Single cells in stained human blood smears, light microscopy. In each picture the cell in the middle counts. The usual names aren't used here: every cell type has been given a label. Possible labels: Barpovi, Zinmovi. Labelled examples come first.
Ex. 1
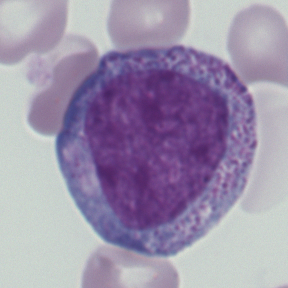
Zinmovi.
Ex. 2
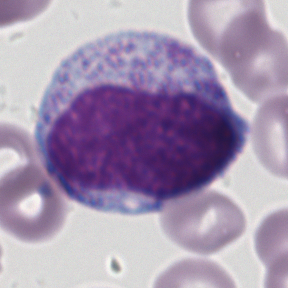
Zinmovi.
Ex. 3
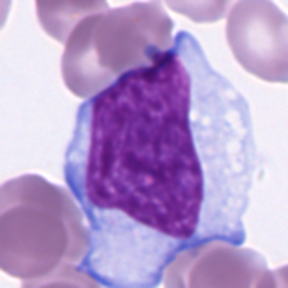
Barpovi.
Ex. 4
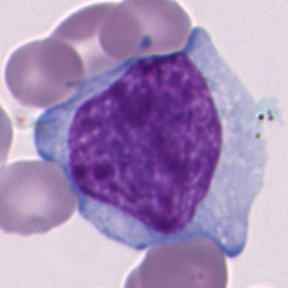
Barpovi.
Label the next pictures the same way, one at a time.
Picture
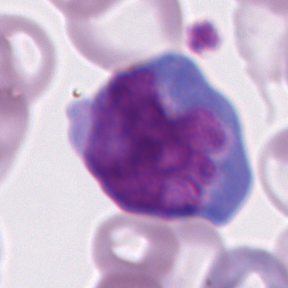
Barpovi.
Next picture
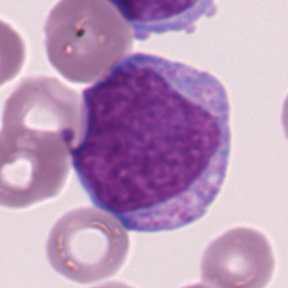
Zinmovi.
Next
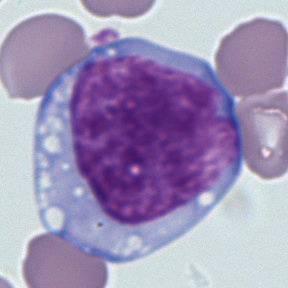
Barpovi.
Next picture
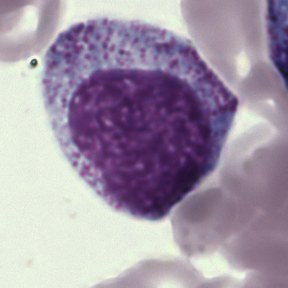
Zinmovi.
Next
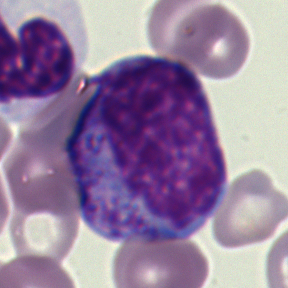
Zinmovi.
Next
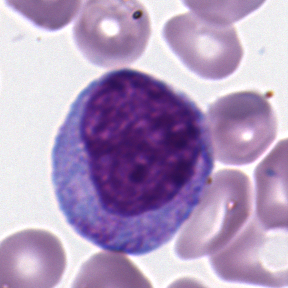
Zinmovi.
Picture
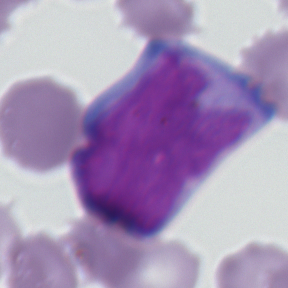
Barpovi.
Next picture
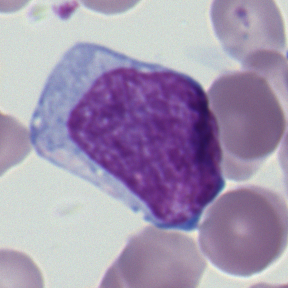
Barpovi.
